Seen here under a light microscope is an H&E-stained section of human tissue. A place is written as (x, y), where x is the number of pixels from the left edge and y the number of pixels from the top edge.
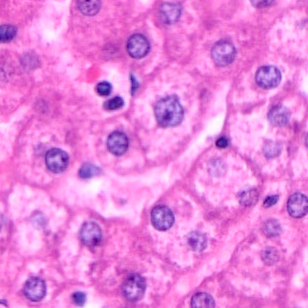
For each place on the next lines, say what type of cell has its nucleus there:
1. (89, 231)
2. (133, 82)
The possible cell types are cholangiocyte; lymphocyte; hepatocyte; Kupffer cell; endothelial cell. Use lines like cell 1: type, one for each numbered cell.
cell 1: hepatocyte
cell 2: endothelial cell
